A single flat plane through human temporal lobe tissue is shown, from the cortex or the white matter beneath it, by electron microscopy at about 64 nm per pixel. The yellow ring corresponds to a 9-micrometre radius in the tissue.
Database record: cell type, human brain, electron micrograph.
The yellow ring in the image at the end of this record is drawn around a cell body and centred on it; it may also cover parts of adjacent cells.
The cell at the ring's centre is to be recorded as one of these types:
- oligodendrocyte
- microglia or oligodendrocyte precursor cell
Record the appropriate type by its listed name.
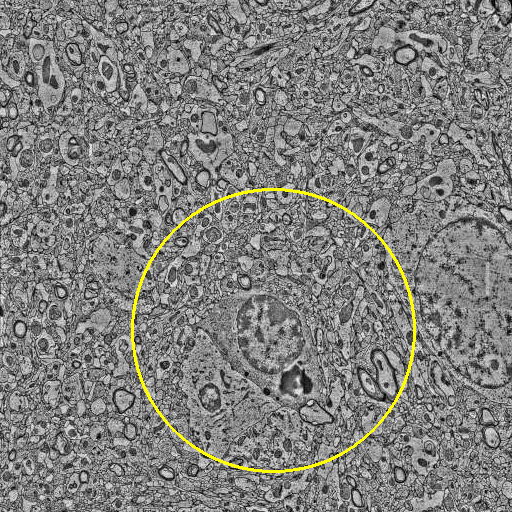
oligodendrocyte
